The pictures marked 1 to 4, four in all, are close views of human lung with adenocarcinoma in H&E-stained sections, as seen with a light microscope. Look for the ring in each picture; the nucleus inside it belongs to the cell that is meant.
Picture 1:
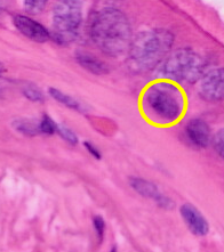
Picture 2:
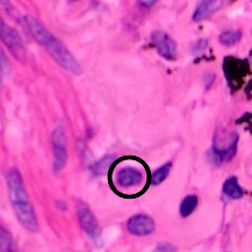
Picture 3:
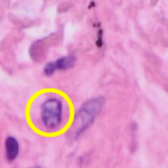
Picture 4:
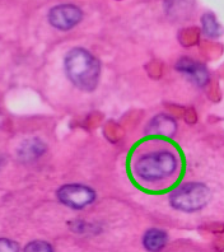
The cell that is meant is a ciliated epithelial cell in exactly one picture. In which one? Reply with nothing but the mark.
1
